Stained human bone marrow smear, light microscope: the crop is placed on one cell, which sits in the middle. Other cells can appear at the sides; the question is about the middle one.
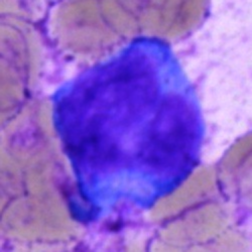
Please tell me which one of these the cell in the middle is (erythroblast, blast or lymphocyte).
blast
